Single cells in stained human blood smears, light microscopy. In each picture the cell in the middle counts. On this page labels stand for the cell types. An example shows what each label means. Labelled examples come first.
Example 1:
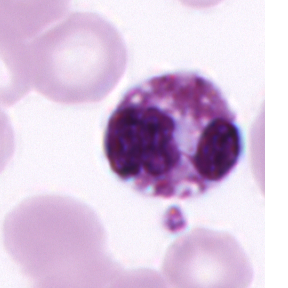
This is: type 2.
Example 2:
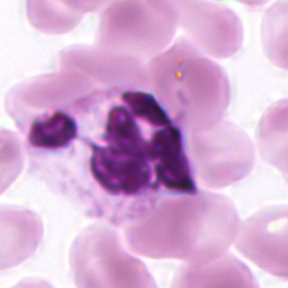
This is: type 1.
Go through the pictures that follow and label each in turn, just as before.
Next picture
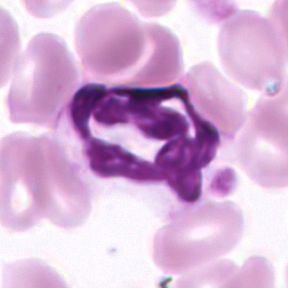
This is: type 1.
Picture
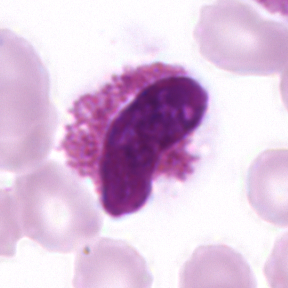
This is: type 2.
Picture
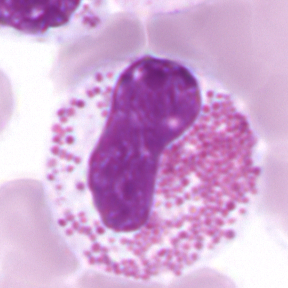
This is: type 2.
